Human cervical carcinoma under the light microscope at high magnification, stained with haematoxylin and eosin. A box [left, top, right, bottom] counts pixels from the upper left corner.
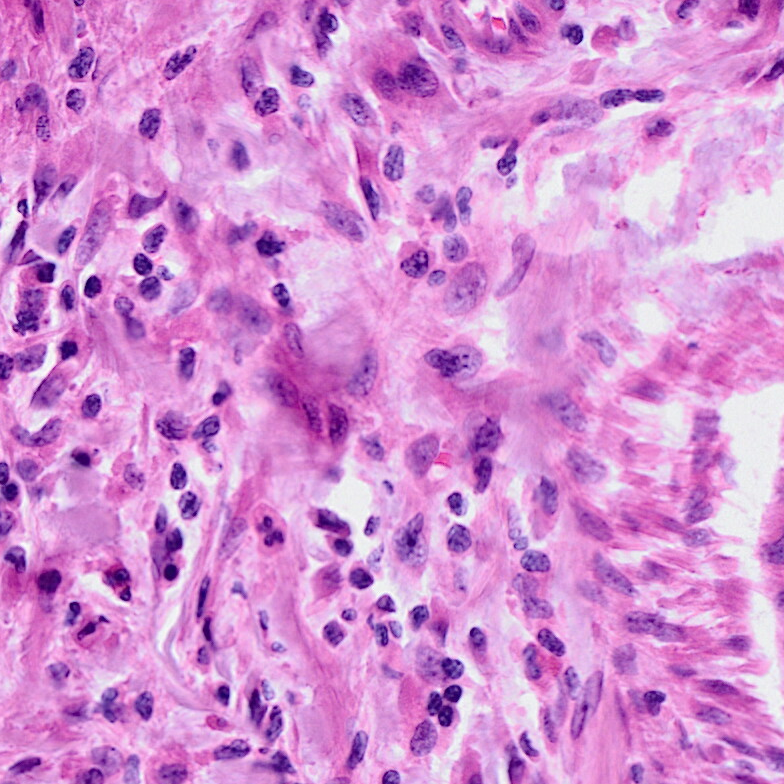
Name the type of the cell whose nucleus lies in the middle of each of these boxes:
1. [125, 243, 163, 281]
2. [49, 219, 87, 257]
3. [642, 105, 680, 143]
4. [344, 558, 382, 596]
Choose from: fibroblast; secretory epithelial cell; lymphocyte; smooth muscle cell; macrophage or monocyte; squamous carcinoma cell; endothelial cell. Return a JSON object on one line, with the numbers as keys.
{"1": "lymphocyte", "2": "lymphocyte", "3": "endothelial cell", "4": "lymphocyte"}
